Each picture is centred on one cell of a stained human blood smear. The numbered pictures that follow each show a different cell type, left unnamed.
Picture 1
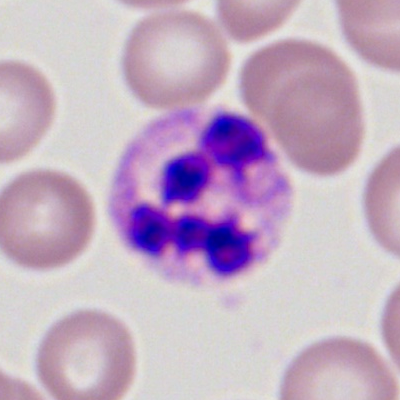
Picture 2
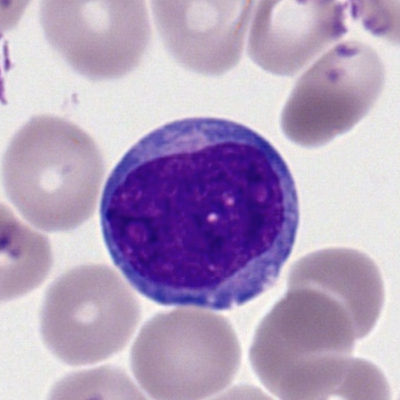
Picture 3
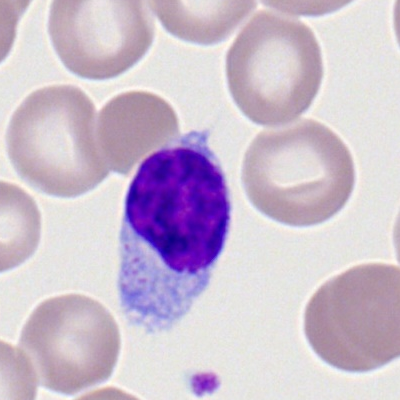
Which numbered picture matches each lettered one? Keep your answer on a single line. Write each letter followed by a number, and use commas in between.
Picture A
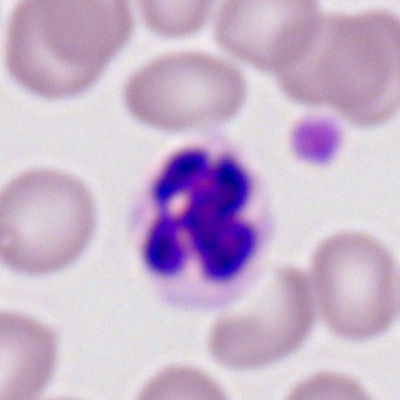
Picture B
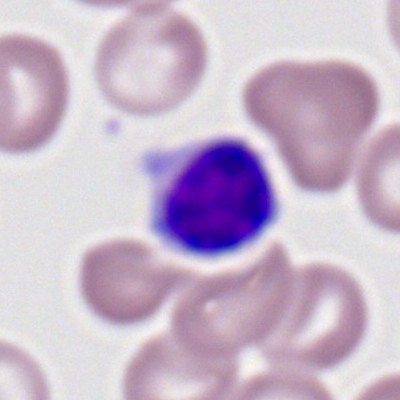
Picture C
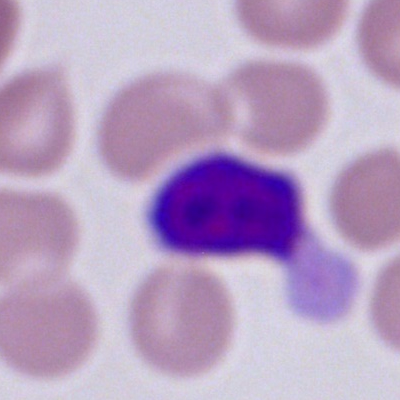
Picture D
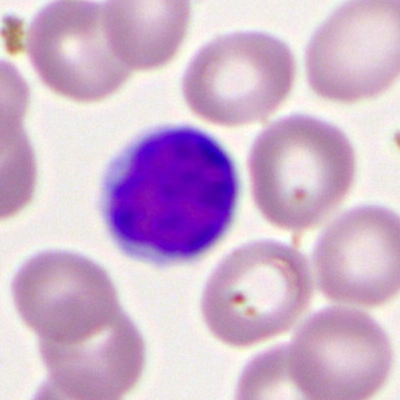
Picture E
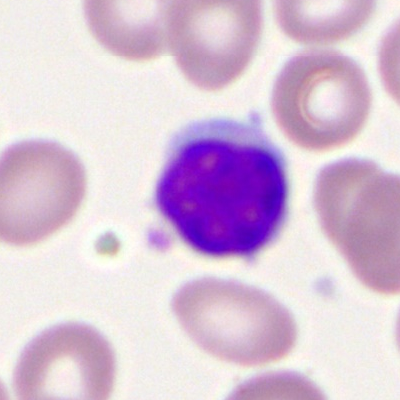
A 1, B 3, C 3, D 3, E 3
